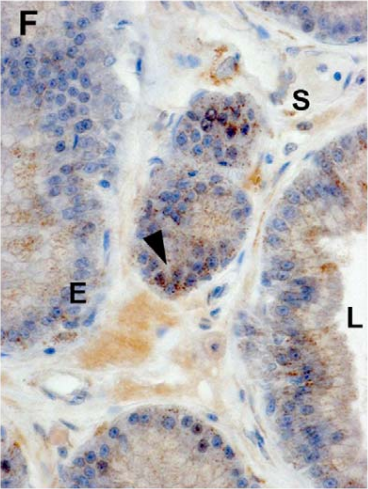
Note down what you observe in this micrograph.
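The epithelial cytoplasm has a faint brownish granular tint, stronger toward the lumen side in places. Between the glands runs a thin stroma of flattened cells, with a patch of pale brown material in one interstitial space.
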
